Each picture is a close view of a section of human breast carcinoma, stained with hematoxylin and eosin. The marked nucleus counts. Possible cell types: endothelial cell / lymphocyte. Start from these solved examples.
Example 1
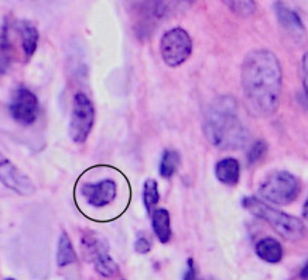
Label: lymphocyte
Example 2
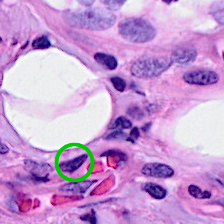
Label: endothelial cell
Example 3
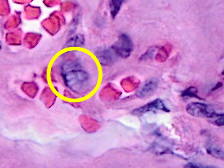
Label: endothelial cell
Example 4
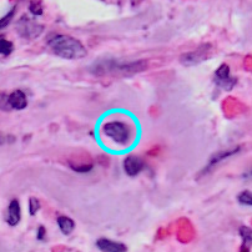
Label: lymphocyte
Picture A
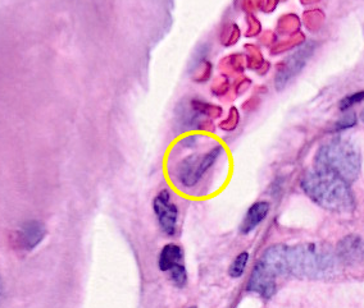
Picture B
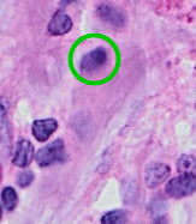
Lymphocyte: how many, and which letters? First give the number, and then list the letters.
1, namely B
